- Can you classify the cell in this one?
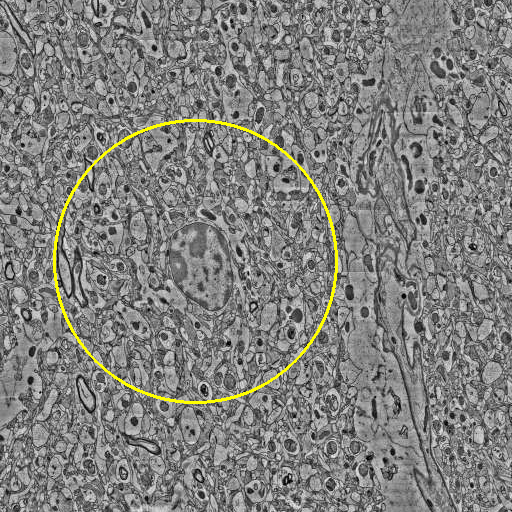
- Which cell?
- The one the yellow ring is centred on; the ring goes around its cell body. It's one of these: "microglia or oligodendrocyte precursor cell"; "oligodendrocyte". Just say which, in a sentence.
The cell body in the ring belongs to a microglial cell or oligodendrocyte precursor cell.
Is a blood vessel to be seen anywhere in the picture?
Yes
